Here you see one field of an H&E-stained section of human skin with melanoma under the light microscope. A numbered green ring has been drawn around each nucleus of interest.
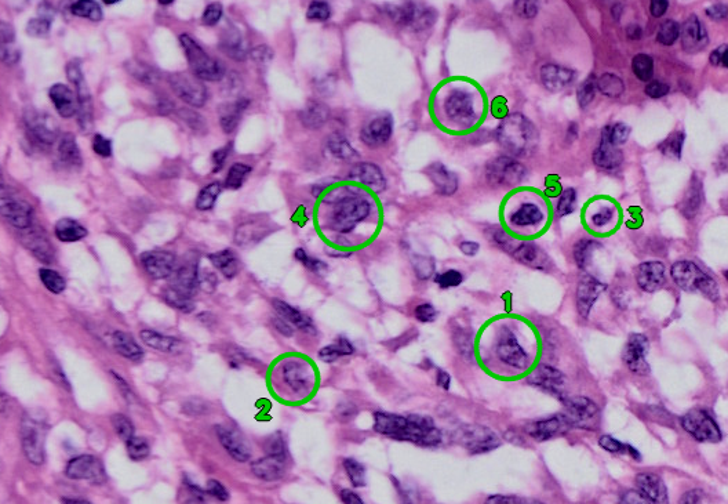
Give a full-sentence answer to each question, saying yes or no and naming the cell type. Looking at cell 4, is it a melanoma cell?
Yes, on this slide, the cell with number 4 is a melanoma cell.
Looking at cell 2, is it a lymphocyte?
No, cell 2 is not a lymphocyte; a melanoma cell is correct.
